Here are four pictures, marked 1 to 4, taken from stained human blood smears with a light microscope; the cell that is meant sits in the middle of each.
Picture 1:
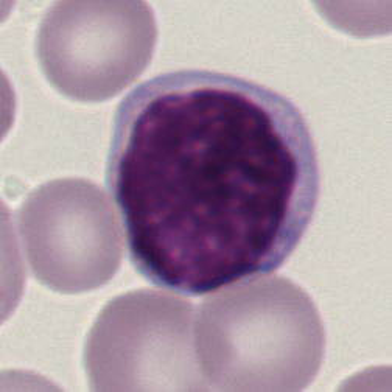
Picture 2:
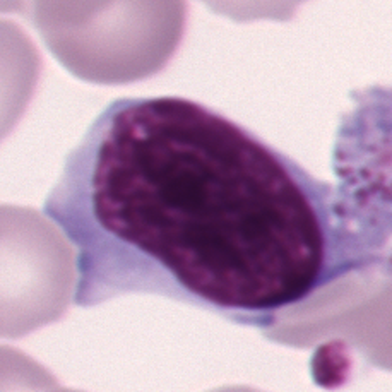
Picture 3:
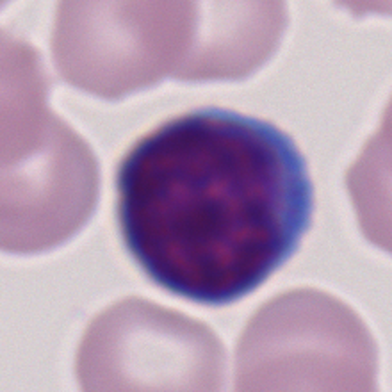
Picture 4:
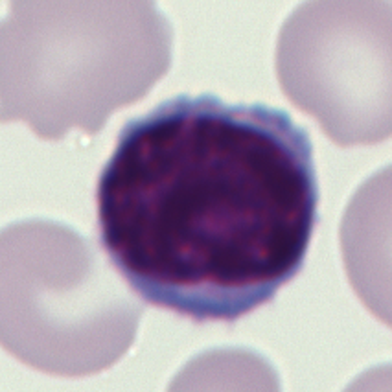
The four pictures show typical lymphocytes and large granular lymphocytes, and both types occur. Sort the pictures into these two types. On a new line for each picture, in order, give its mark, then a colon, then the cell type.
1: large granular lymphocyte
2: large granular lymphocyte
3: typical lymphocyte
4: typical lymphocyte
